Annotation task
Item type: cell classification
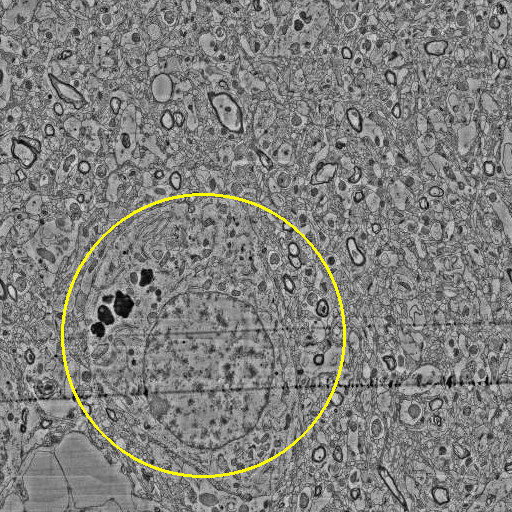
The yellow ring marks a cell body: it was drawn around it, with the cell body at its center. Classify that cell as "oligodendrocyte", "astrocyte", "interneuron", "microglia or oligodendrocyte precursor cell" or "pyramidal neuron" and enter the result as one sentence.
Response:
The ring's center falls on an interneuron.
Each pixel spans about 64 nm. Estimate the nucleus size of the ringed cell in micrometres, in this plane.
The nucleus of the ringed cell is approximately 10 by 9 micrometres in this plane.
